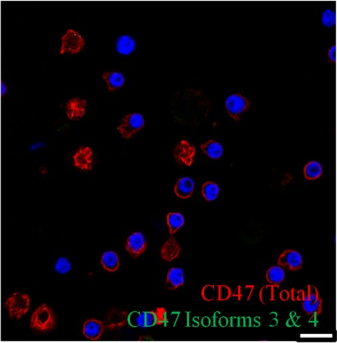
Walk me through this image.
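The nucleated cells carry a small, compact, round blue nucleus that is bright and dense, surrounded by a thin red rim at the cell edge. Other cells show red label throughout an irregular, crinkled outline and contain no blue nucleus at all. Some blue nuclei lie free without an obvious red rim around them. Green label is scarcely seen anywhere in the field.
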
